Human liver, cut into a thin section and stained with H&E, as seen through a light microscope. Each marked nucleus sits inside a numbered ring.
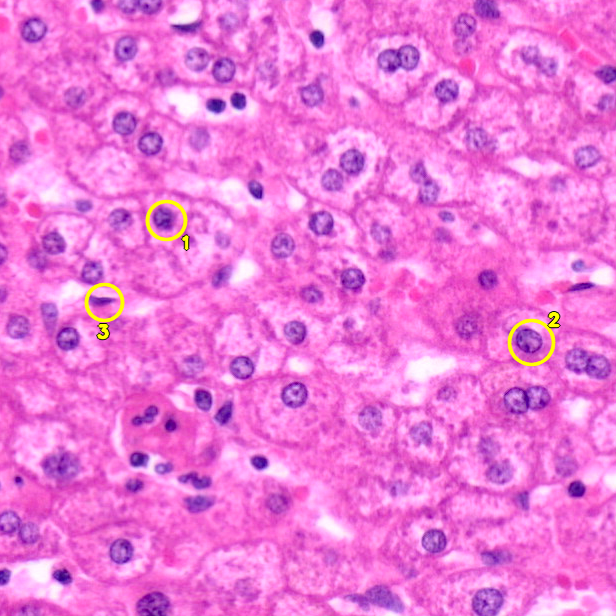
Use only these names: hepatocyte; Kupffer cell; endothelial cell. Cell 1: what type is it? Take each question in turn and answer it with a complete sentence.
The numeral 1 marks a hepatocyte in this section.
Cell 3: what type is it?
The cell indicated with the number 3 is classed as an endothelial cell.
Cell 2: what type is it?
Among the marked cells, number 2 is a hepatocyte.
